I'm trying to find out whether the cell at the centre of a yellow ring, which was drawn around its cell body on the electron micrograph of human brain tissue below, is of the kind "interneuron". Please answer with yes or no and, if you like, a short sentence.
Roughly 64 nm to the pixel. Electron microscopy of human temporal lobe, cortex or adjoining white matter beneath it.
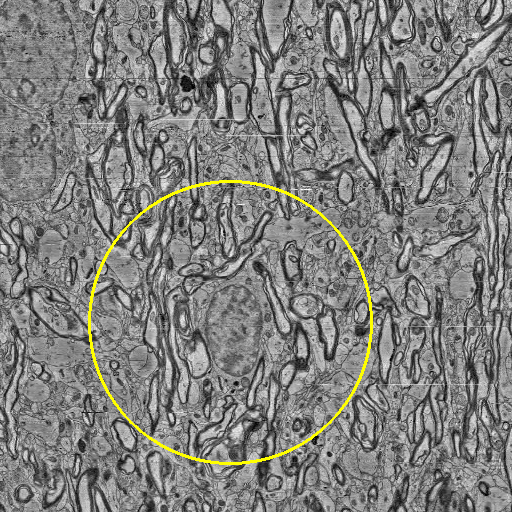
No, that cell is of another kind.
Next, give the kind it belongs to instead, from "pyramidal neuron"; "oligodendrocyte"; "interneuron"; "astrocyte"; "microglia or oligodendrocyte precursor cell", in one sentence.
Instead, the cell at the centre of the ring is an oligodendrocyte.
